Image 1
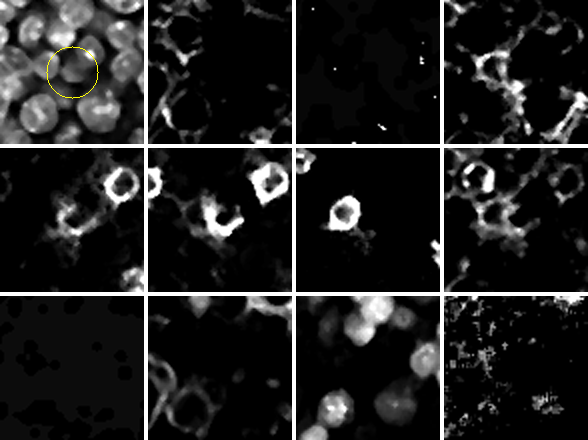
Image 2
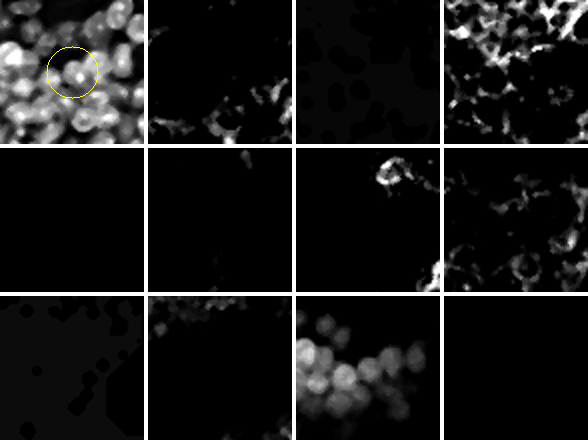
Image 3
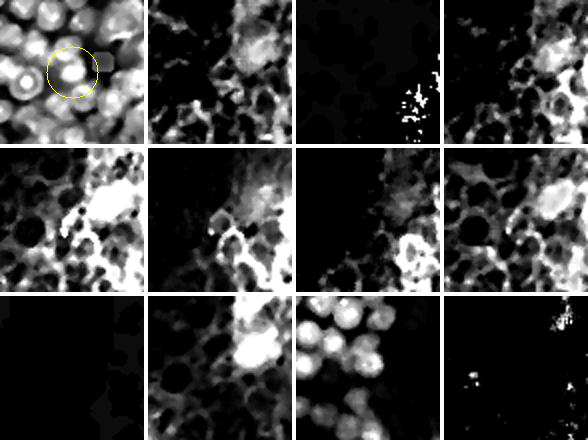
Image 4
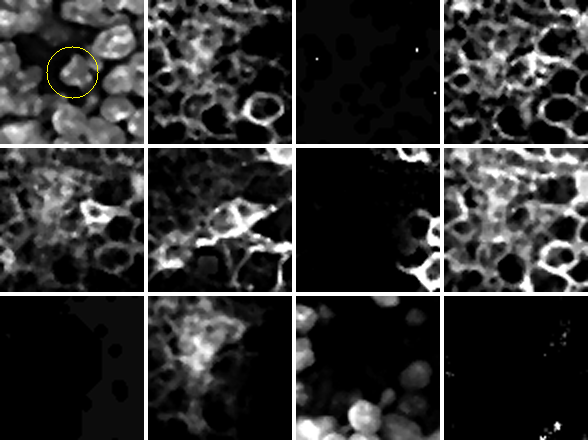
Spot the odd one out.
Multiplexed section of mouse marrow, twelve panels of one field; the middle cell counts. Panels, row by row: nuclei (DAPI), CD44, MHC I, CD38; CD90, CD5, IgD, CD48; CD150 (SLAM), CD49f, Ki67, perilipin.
Picture 2 (an erythroblast among T cells).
